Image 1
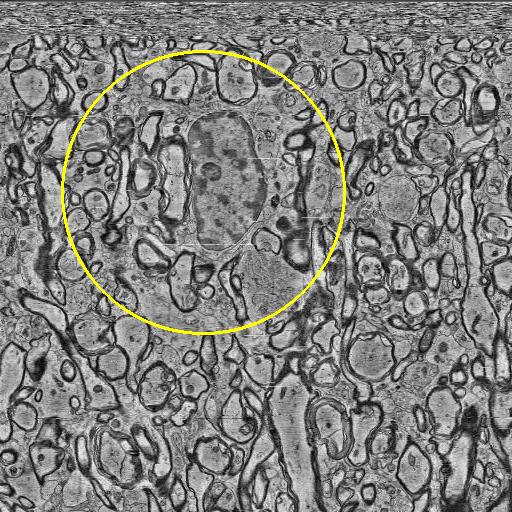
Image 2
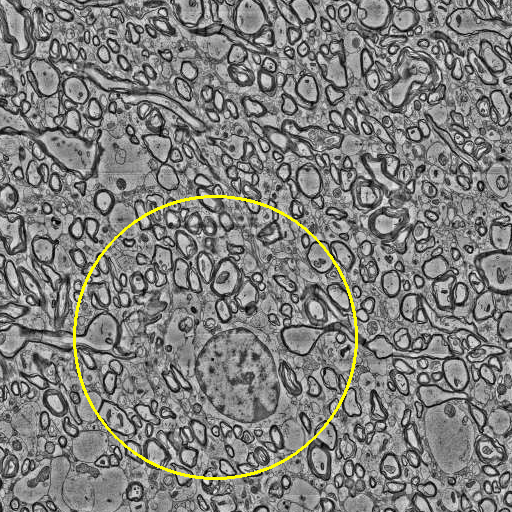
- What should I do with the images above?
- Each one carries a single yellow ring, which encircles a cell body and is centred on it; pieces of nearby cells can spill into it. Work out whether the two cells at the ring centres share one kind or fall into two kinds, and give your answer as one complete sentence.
The ring-centre cells of Image 1 and Image 2 share one kind.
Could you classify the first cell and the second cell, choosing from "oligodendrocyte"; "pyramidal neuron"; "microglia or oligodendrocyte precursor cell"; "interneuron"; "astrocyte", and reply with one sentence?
Each of the two rings is centred on a microglial cell or oligodendrocyte precursor cell.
